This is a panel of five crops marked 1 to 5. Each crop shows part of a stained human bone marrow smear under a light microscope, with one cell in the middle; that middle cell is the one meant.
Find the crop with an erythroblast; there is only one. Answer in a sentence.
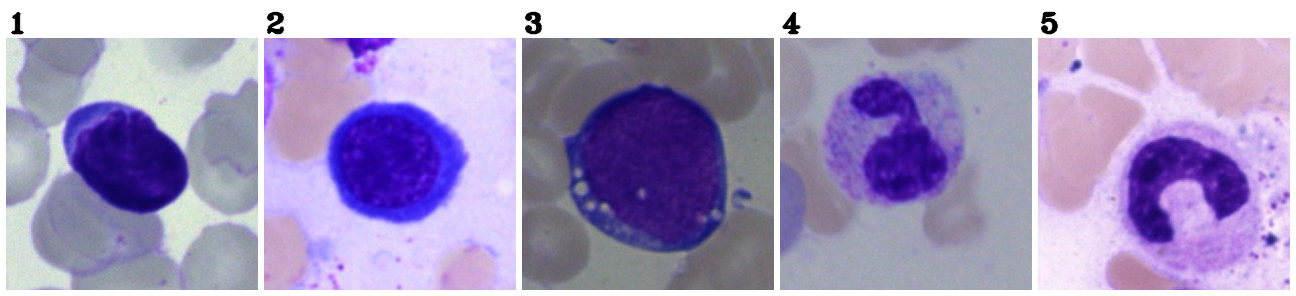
Of the labeled crops, the one with an erythroblast is crop 2.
